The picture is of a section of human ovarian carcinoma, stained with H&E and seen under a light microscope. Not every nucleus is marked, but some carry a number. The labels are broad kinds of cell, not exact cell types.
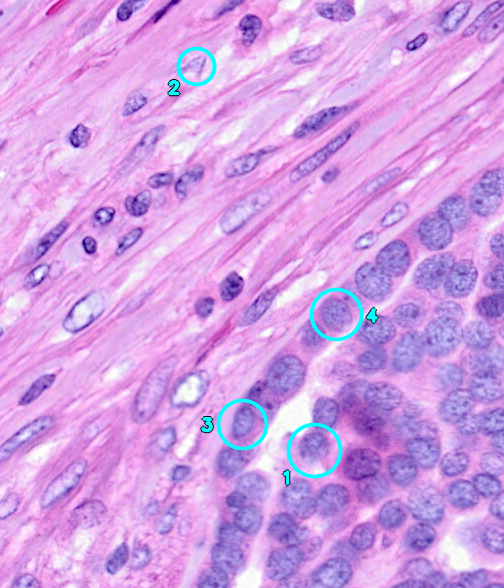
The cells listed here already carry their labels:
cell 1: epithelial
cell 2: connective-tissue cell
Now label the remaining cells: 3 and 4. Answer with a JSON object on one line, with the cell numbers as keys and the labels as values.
{"3": "epithelial", "4": "epithelial"}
